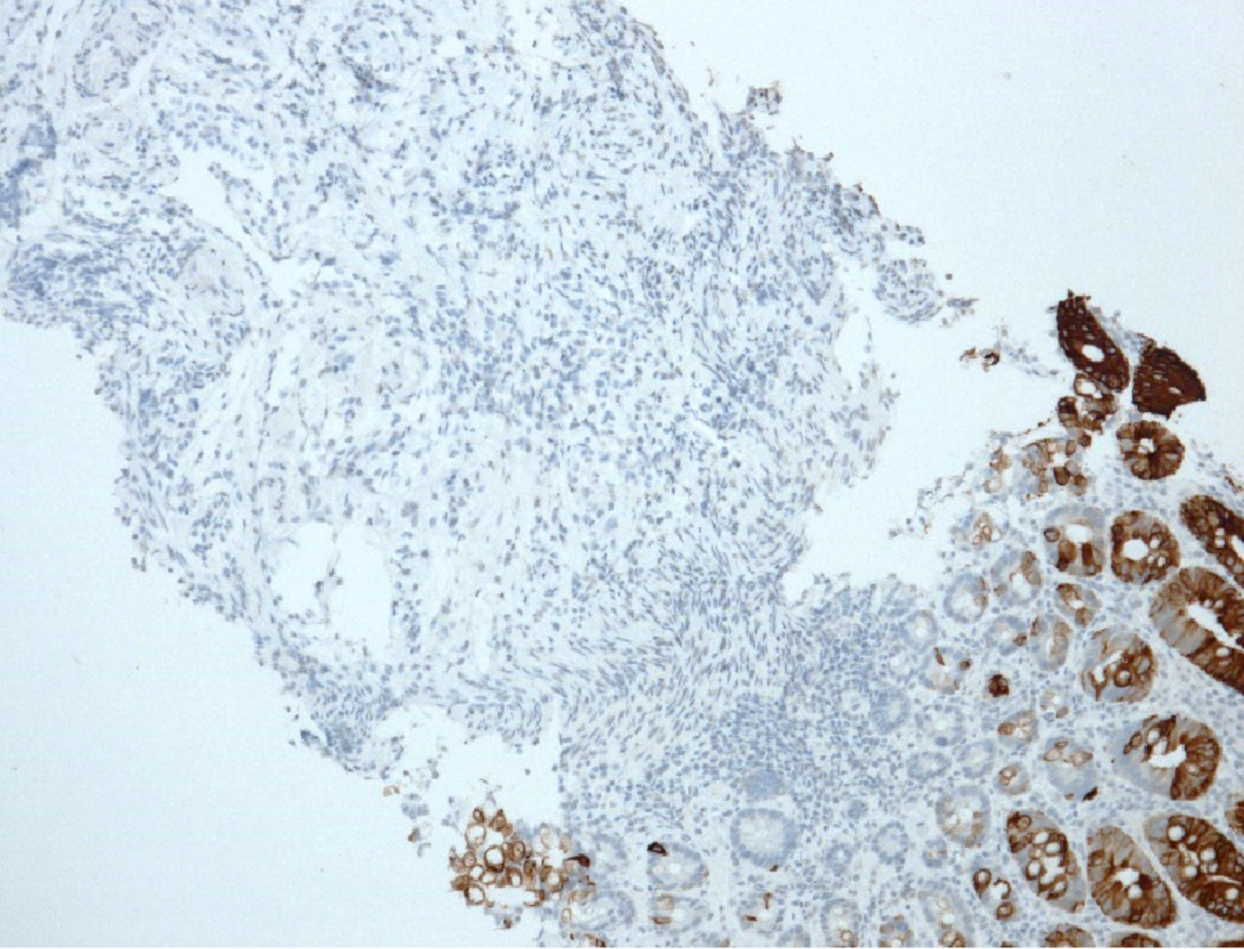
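The colonic epithelium forms round-to-oval crypts cut mostly in cross-section, and their lining cells are strongly brown, with many pale, clear goblet-cell vacuoles standing out against the brown cytoplasm. Between the crypts lies a lamina propria of small cells with blue nuclei that do not take up the brown stain. The tumour tissue in the upper left is made of densely packed cells with oval to elongated, spindle-shaped blue nuclei, arranged in sweeping, interlacing streams, with a few thin-walled spaces scattered through it. Throughout this tumour area there is no brown staining at all, so the tumour cells look entirely blue, in sharp contrast with the brown crypts of the colonic lining nearby.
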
